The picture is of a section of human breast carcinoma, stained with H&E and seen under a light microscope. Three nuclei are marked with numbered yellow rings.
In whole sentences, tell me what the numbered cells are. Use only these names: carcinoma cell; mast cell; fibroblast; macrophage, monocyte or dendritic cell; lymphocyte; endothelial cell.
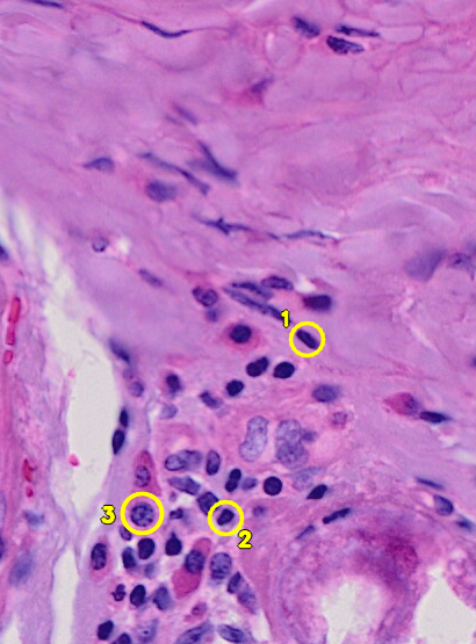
Cells 1 and 2 are lymphocytes. Cell 3 is a mast cell.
